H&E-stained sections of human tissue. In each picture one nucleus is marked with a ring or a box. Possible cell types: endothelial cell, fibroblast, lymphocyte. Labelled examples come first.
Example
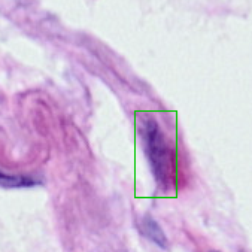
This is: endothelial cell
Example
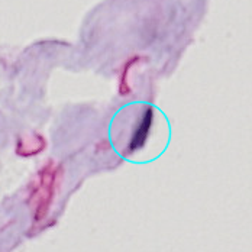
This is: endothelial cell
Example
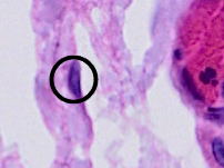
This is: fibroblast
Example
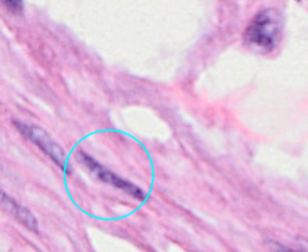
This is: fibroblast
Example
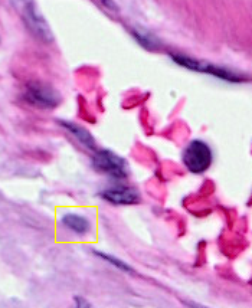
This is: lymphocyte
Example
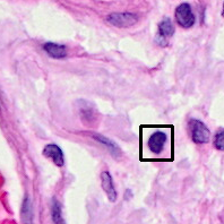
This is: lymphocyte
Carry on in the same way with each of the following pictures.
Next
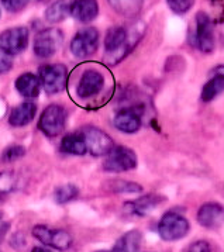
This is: lymphocyte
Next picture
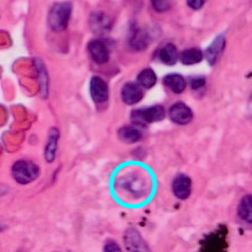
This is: fibroblast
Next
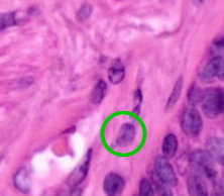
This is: fibroblast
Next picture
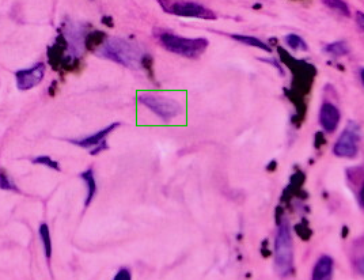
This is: fibroblast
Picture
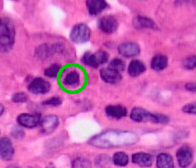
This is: lymphocyte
